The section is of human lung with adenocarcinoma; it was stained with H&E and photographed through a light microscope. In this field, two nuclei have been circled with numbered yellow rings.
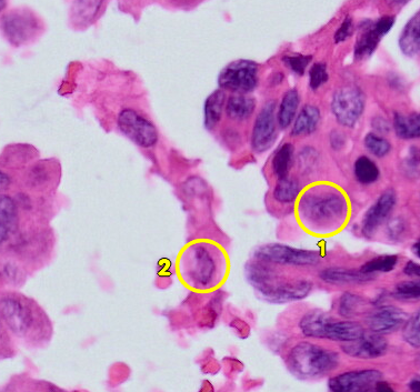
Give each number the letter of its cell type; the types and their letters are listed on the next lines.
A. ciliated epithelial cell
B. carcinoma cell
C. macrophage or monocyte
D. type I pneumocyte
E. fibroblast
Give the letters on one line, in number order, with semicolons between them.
B; C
